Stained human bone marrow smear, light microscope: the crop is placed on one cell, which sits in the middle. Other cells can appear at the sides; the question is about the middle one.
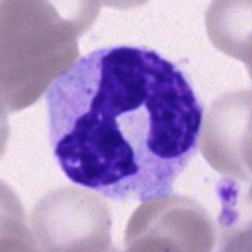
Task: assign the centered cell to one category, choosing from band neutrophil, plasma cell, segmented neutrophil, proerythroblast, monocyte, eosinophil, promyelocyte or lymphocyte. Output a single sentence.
The cell centered in this field of view is a segmented neutrophil.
